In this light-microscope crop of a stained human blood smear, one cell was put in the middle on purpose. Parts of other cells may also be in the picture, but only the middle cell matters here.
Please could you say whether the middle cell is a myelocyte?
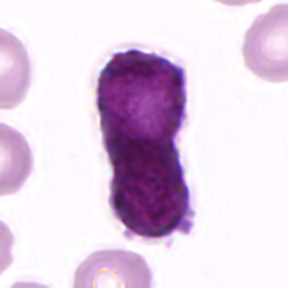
no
